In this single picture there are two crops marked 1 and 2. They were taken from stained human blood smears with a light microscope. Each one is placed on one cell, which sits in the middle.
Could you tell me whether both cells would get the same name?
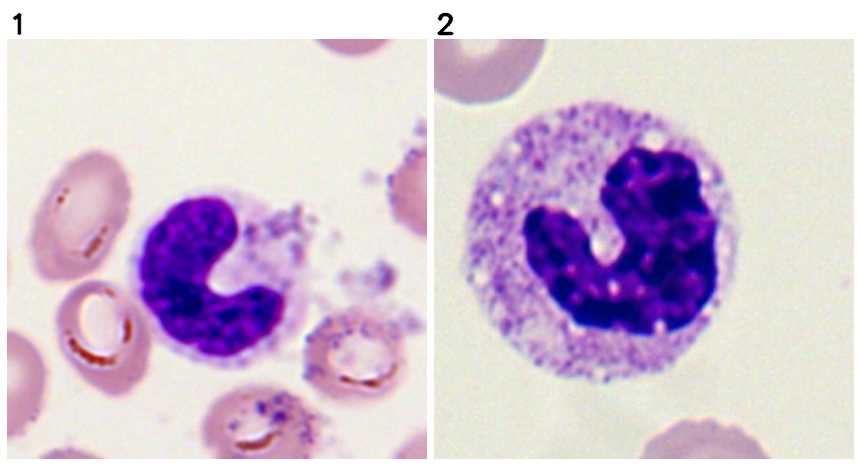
yes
